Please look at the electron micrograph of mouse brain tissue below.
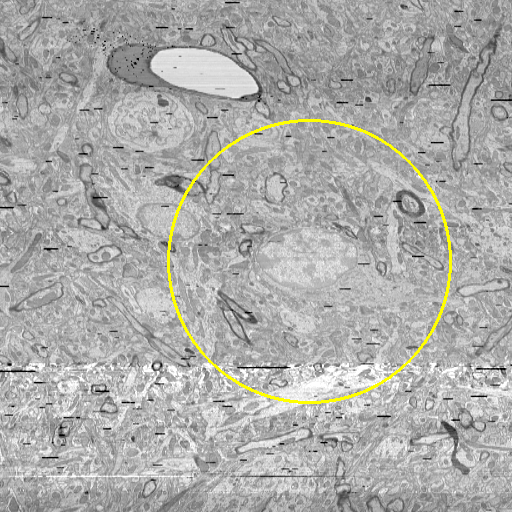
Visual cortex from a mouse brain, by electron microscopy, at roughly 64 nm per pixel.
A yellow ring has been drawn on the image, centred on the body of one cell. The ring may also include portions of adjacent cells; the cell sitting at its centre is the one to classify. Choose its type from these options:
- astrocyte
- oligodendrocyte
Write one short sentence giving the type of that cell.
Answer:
The cell in the middle of the ring is an oligodendrocyte.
